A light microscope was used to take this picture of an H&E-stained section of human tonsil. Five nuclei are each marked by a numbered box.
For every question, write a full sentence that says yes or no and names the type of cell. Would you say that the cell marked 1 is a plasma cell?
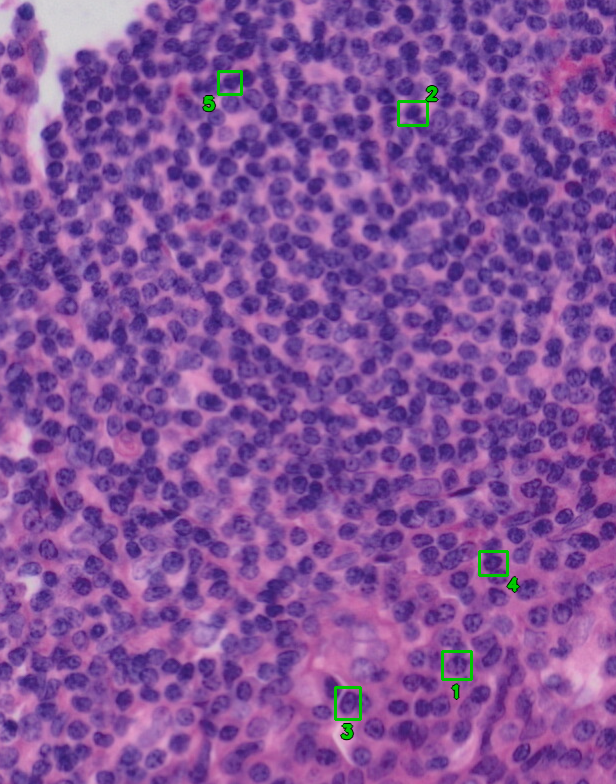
Yes, it checks out; the cell labelled 1 is a plasma cell.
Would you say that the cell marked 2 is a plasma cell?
No, it is a small lymphocyte, not a plasma cell, at number 2.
